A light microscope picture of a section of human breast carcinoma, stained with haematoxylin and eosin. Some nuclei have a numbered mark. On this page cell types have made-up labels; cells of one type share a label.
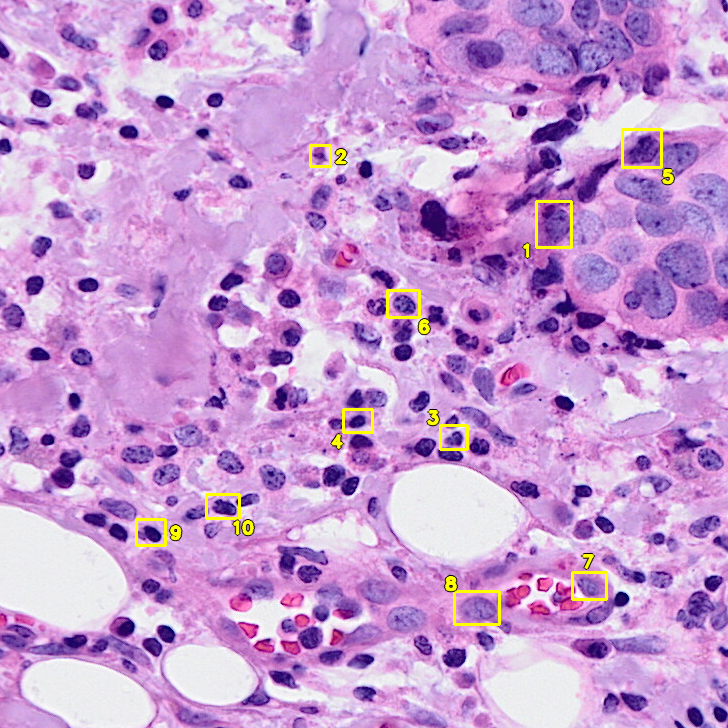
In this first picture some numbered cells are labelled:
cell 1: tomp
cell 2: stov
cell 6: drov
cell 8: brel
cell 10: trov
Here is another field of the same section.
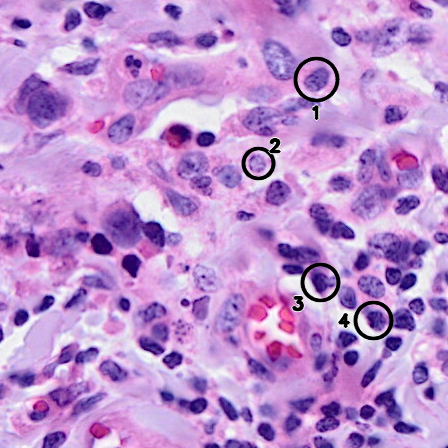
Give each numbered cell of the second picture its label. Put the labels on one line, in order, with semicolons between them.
drov; stov; trov; trov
